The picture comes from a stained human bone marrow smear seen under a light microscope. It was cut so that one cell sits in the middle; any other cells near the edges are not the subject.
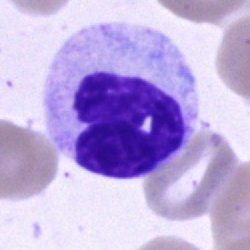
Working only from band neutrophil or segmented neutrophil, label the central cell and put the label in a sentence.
For this crop, the cell in the middle is a segmented neutrophil.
